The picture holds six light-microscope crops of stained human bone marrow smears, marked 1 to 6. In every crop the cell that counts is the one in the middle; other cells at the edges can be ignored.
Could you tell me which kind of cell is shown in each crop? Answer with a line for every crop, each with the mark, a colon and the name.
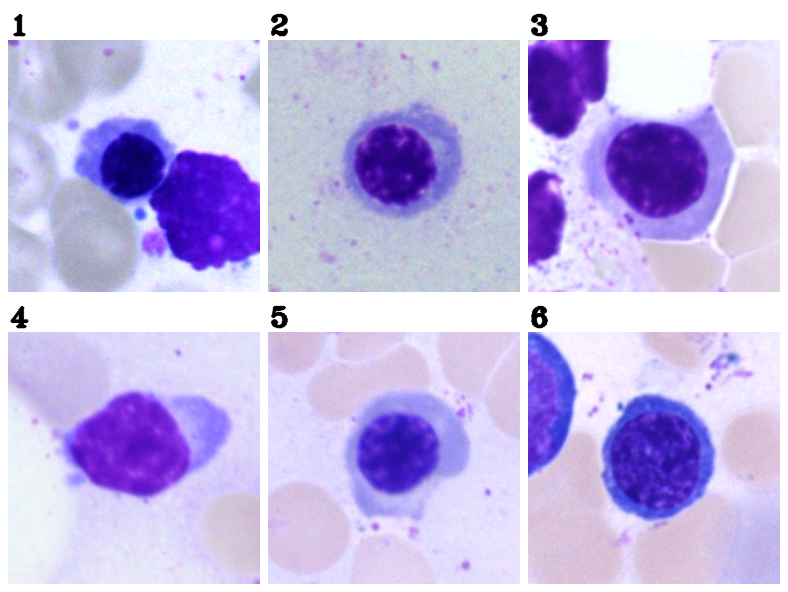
1: erythroblast
2: erythroblast
3: erythroblast
4: lymphocyte
5: erythroblast
6: erythroblast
